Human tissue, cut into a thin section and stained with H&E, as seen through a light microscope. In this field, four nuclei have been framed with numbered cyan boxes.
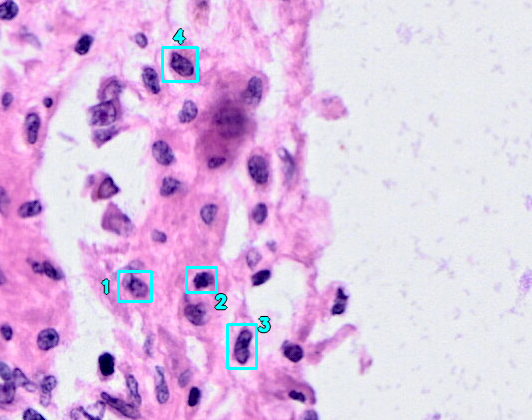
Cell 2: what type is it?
lymphocyte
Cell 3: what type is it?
macrophage or monocyte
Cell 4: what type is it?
macrophage or monocyte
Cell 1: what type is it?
macrophage or monocyte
